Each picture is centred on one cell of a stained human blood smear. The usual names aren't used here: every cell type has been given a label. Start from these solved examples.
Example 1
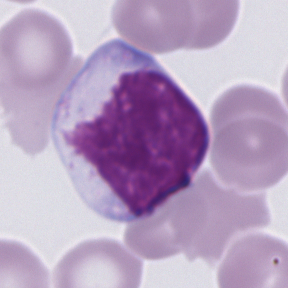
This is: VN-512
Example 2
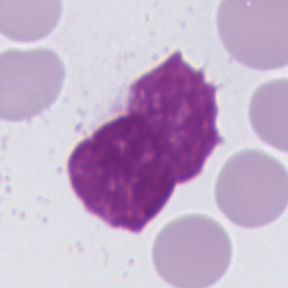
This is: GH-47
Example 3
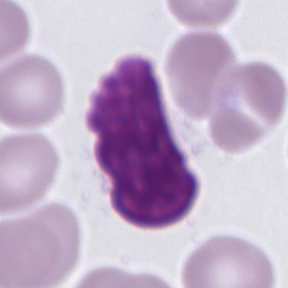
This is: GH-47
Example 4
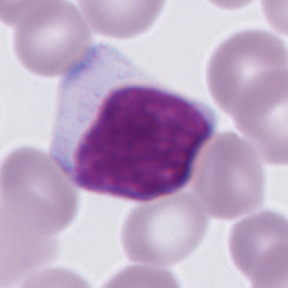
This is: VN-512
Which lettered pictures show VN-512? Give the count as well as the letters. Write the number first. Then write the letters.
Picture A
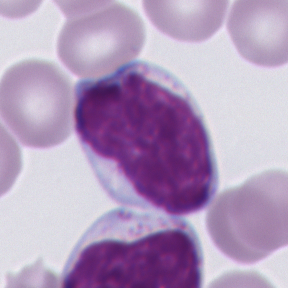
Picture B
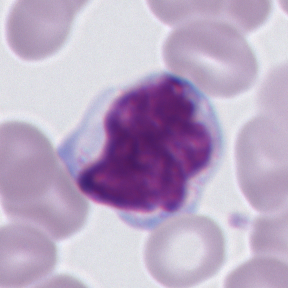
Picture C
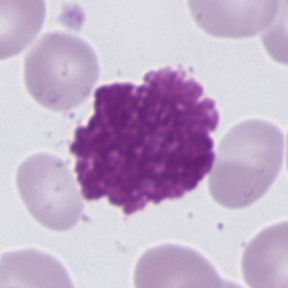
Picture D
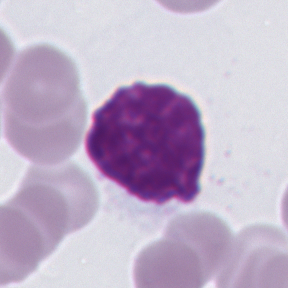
Count: 2 (A, B)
